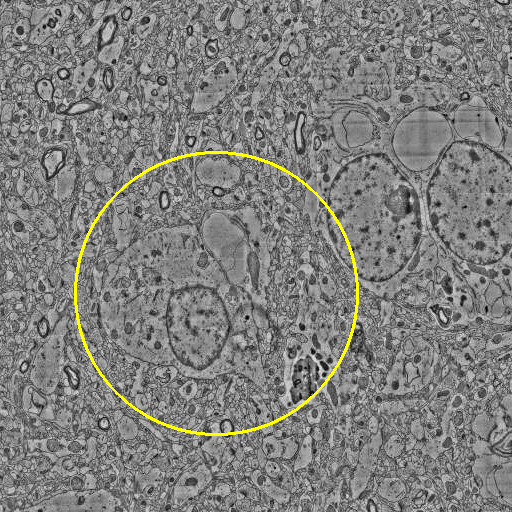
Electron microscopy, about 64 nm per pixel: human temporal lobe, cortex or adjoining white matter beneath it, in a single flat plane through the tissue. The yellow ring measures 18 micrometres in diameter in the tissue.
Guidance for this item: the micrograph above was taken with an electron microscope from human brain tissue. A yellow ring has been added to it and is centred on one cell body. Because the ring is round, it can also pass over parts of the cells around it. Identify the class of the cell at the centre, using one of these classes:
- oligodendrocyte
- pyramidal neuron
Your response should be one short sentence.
The ring surrounds the body of a pyramidal neuron.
